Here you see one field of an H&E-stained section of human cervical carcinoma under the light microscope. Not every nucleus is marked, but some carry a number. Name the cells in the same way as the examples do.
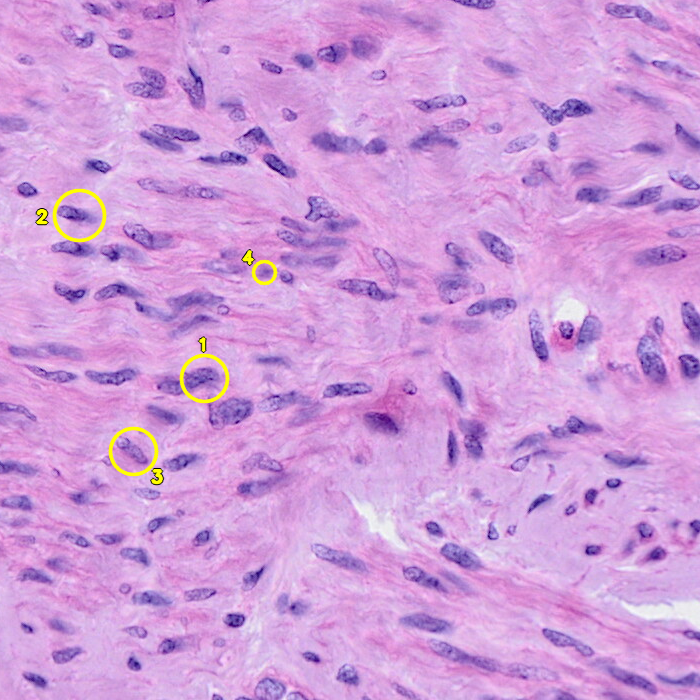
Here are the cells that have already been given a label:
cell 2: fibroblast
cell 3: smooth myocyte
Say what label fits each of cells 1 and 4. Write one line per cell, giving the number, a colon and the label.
1: smooth myocyte
4: smooth myocyte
